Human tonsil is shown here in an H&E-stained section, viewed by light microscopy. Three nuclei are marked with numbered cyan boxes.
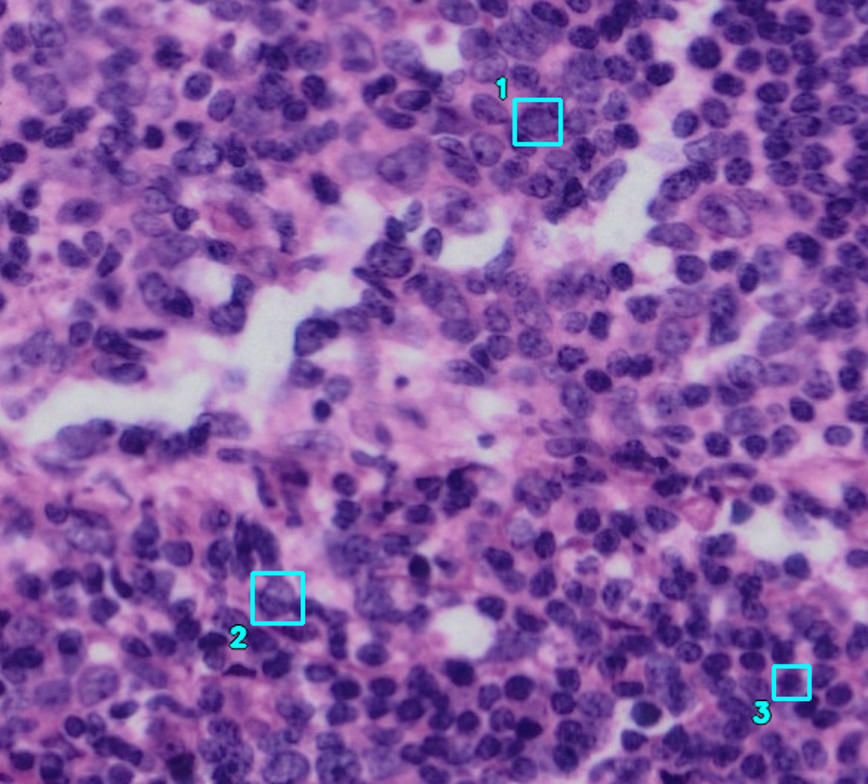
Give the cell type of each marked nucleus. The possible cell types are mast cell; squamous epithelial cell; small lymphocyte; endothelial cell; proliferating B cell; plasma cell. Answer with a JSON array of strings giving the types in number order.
["proliferating B cell", "proliferating B cell", "small lymphocyte"]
